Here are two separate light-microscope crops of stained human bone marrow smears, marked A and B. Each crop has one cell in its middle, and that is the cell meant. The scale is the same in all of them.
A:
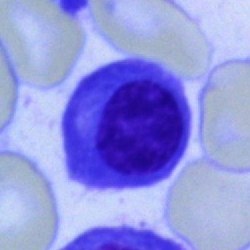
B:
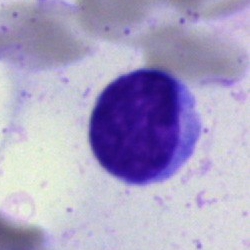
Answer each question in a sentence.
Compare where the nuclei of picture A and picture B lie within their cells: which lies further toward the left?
The nucleus in picture B lies further toward the left of its cell.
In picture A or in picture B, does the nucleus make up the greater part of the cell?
It is the cell in picture B that is filled more by its nucleus.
